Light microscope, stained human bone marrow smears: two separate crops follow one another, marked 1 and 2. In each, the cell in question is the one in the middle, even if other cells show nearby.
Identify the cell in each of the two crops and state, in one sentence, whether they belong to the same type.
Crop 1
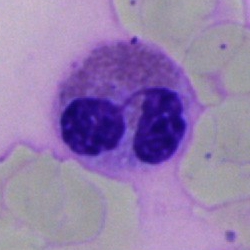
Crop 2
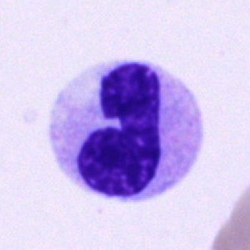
No, in this case crop 1 shows an eosinophil, and crop 2 shows a band neutrophil.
